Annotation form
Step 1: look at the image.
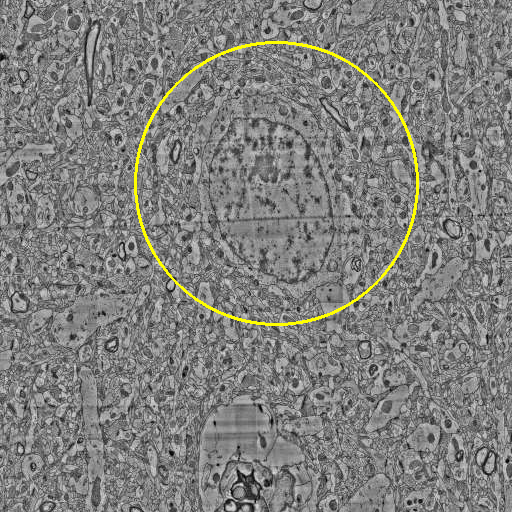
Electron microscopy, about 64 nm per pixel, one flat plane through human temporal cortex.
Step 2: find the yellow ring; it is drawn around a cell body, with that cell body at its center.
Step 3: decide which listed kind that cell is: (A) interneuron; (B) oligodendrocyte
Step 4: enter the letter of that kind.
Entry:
A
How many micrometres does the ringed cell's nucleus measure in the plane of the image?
Approximately 11 micrometres long and 8 micrometres wide, in this plane.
